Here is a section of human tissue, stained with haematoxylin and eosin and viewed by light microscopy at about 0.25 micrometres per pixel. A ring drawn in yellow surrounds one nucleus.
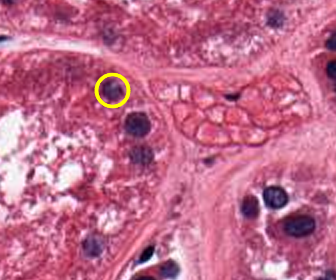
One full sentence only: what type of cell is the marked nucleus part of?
The marked nucleus here is the nucleus of a proximal tubule cell.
